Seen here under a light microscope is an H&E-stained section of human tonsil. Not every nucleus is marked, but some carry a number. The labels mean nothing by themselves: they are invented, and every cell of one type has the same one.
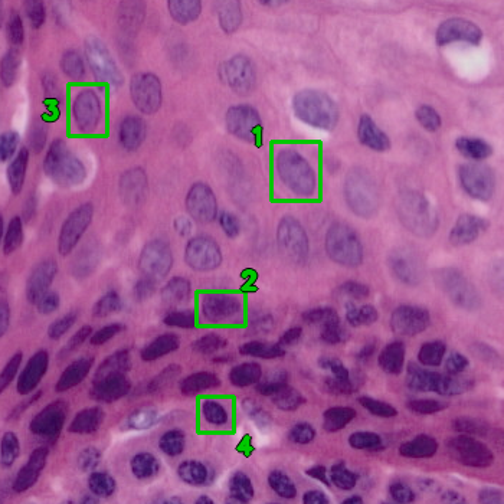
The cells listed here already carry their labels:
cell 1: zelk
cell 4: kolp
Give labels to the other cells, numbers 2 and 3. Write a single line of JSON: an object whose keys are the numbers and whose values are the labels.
{"2": "zelk", "3": "zelk"}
